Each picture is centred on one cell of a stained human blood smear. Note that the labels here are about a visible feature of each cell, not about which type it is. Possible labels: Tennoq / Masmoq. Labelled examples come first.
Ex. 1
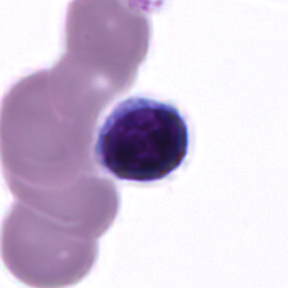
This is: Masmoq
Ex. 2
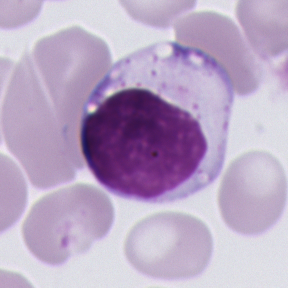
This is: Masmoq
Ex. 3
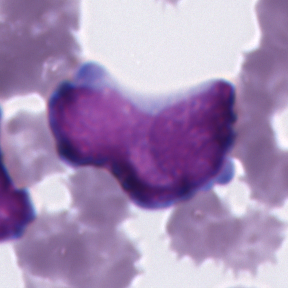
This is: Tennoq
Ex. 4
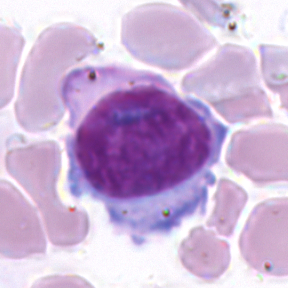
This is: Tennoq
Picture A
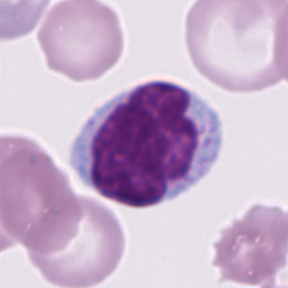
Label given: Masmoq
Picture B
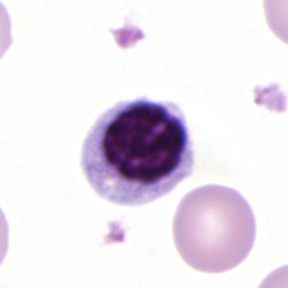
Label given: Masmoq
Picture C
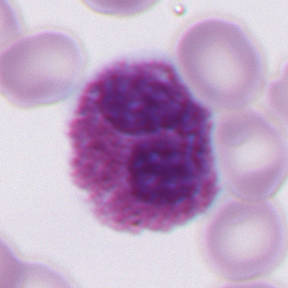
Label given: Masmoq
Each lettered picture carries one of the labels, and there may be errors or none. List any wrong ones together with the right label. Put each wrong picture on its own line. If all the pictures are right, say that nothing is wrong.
C is labelled Masmoq; correct label: Tennoq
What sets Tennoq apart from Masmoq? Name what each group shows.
Seen in Tennoq: ragged outline or projections; seen in Masmoq: smooth outline.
